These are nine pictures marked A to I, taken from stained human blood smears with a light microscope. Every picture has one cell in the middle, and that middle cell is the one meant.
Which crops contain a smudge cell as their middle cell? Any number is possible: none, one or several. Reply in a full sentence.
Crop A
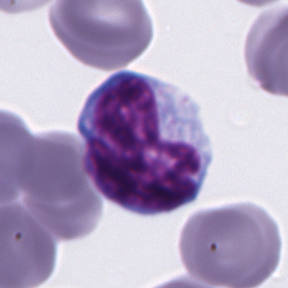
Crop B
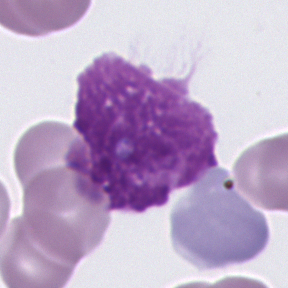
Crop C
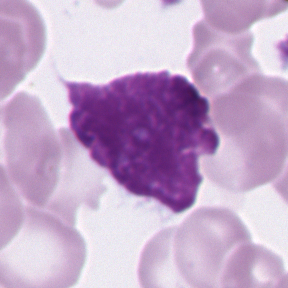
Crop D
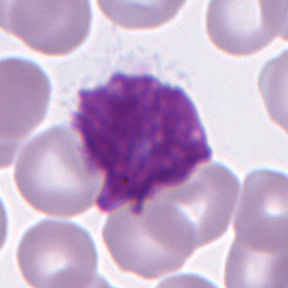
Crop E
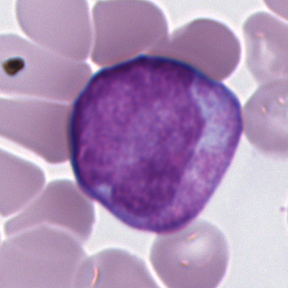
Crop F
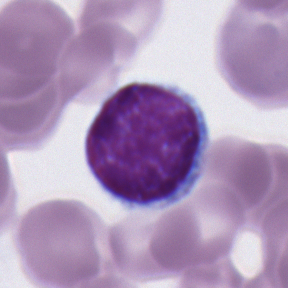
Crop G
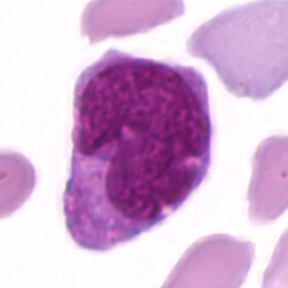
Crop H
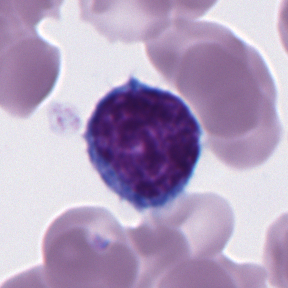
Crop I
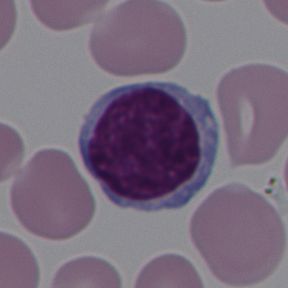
The central cells in crops B, C and D are recognised as smudge cells.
